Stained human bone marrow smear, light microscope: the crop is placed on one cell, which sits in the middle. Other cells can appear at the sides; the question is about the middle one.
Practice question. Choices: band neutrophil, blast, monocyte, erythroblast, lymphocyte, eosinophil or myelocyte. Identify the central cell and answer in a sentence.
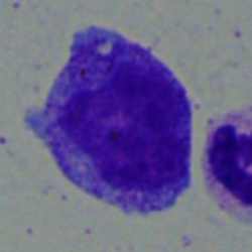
The centered cell in this crop is a myelocyte.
